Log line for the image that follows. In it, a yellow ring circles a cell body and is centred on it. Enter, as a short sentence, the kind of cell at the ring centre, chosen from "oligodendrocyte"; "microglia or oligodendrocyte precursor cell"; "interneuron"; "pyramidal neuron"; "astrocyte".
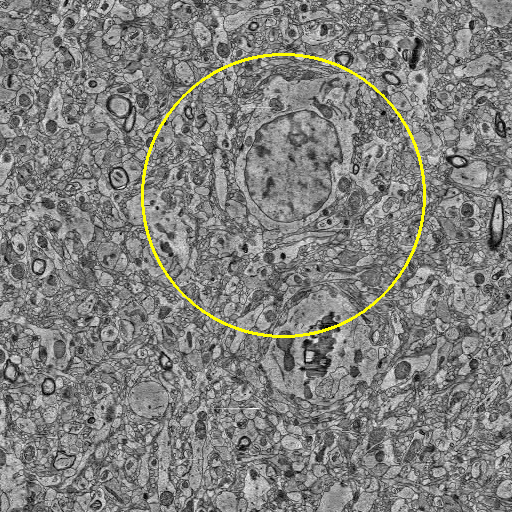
The ring centre is occupied by a microglial cell or oligodendrocyte precursor cell.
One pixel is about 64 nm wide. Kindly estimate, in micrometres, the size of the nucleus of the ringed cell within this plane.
In this plane, approximately 8 by 6 micrometers.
